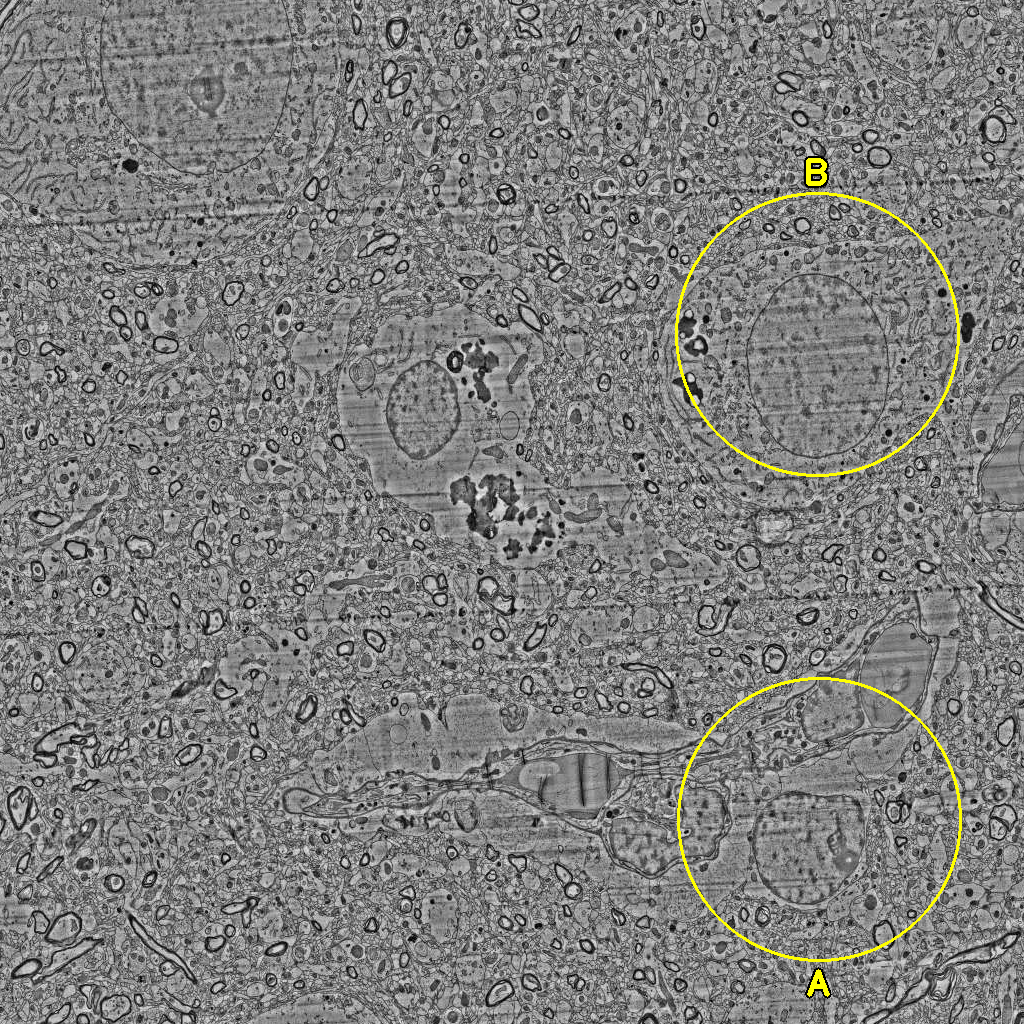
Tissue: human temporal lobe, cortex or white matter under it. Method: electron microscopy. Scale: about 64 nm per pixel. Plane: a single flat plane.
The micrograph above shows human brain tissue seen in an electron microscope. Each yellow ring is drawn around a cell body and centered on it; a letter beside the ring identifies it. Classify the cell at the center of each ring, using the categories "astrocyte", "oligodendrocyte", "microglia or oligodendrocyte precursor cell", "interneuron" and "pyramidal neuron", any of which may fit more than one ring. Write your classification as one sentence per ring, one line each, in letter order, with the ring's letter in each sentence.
Ring A is centered on a microglial cell or oligodendrocyte precursor cell.
Ring B is centered on a pyramidal neuron.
